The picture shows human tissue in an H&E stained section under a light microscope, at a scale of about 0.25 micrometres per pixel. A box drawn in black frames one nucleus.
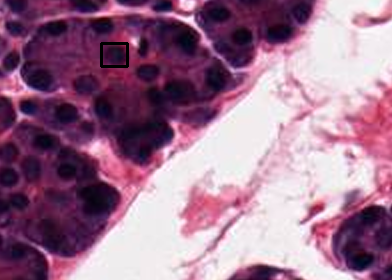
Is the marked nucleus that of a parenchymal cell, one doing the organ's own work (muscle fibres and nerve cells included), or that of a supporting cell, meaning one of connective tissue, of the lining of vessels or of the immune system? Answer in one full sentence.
In this field the marked nucleus is the nucleus of a pancreatic acinar cell, a parenchymal cell.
